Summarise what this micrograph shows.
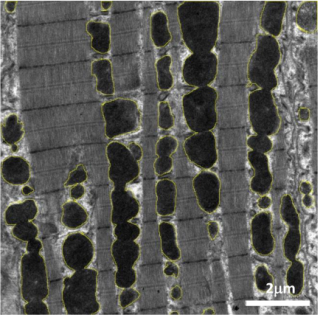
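Transmission electron micrograph of heart muscle showing parts of cardiomyocytes with parallel myofibrils and their mitochondria. The myofibrils run vertically and show regular cross-striations. Between them lie rows of mitochondria, traced in yellow, which are oval to elongated and uniformly electron-dense. The mitochondria are aligned in columns along the myofibrils.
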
